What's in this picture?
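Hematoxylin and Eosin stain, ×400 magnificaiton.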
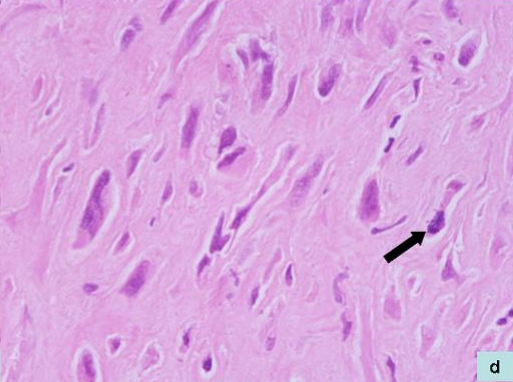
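Spindle tumour cells at high power lie in pink fibrillar stroma, with elongated to oval purple nuclei of varying size, some enlarged and irregular. Near the right edge a small, dense, dark clump of chromatin stands out as a mitotic figure.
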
